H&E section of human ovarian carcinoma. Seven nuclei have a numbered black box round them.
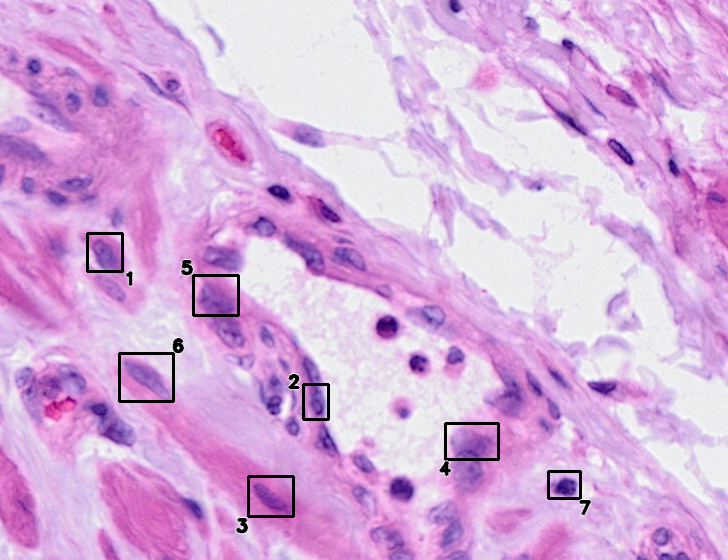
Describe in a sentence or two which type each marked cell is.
Cells 1, 3 and 6 are smooth muscle cells. Cells 2, 4 and 5 are endothelial cells. Cell 7 is a lymphocyte.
